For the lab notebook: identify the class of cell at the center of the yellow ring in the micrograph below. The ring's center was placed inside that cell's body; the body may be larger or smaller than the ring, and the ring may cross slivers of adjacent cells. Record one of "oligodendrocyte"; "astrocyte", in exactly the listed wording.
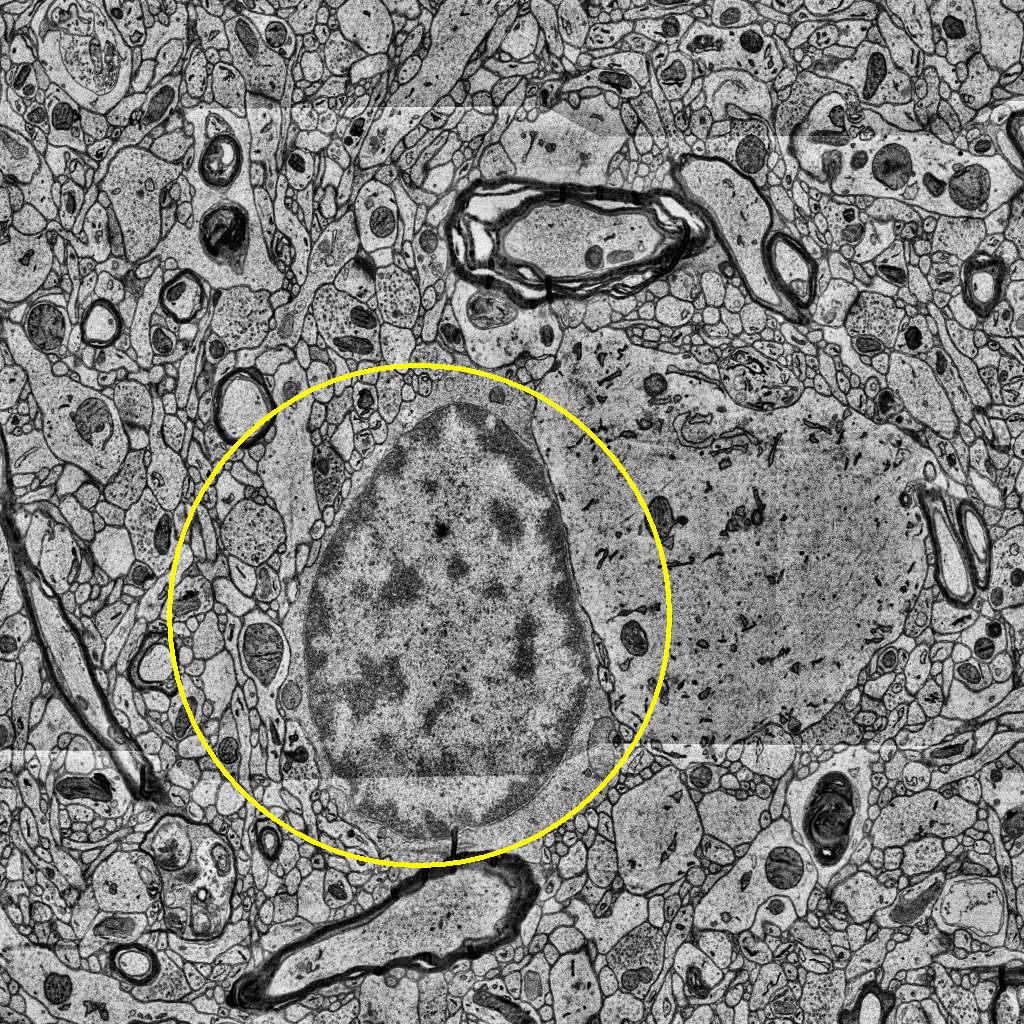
oligodendrocyte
